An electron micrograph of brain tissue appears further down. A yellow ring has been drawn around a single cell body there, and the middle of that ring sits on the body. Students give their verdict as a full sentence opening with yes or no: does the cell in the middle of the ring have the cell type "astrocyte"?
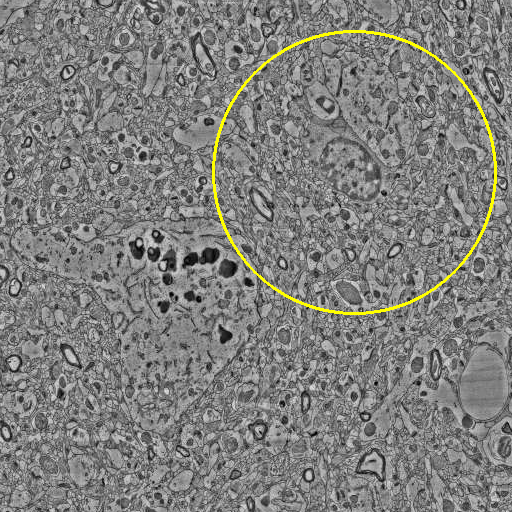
No, in this picture the cell sitting at the middle of the ring has a different cell type.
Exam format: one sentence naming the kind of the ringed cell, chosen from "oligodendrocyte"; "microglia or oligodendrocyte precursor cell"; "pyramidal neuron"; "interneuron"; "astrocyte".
Instead, what sits at the centre of the ring is an oligodendrocyte.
